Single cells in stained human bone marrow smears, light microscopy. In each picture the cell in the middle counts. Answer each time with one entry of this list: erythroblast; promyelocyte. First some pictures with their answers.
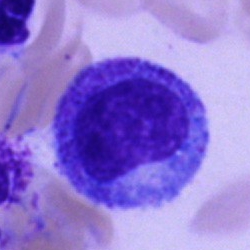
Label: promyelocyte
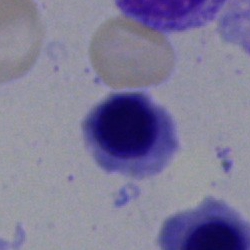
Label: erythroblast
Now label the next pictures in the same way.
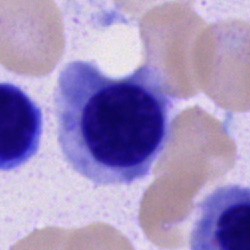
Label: erythroblast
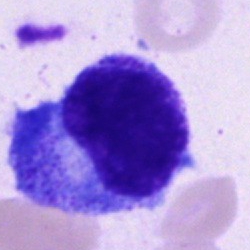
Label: promyelocyte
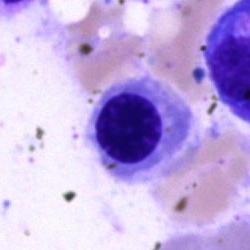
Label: erythroblast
